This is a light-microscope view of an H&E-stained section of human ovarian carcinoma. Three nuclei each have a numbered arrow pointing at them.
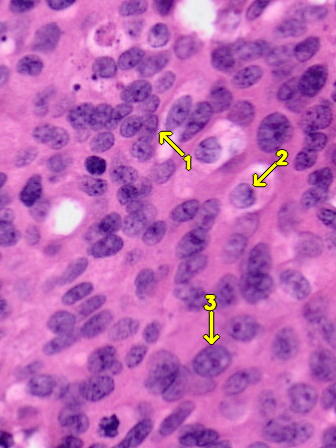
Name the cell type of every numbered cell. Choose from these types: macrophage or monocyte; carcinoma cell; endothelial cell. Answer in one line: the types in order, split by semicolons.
carcinoma cell; macrophage or monocyte; carcinoma cell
